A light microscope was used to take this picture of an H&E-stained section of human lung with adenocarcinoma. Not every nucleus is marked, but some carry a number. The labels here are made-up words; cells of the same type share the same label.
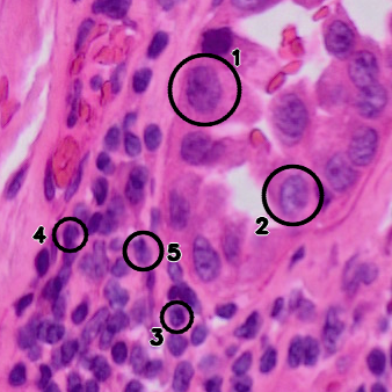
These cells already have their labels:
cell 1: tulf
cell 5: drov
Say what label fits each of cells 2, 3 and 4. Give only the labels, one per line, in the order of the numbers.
tulf
drov
drov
